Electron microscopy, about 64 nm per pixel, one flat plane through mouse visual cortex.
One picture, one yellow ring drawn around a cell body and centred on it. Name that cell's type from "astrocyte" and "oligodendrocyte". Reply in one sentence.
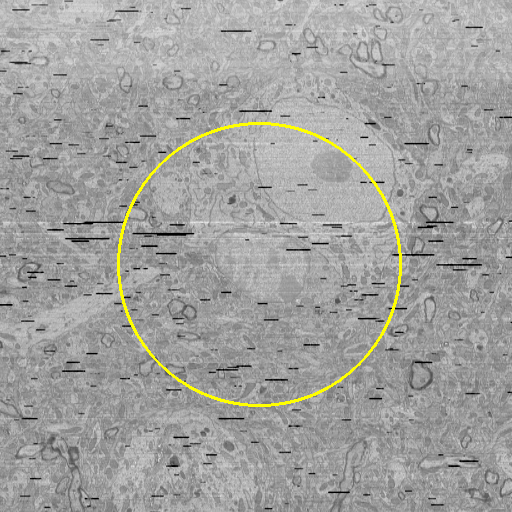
Centred in the ring is an oligodendrocyte.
